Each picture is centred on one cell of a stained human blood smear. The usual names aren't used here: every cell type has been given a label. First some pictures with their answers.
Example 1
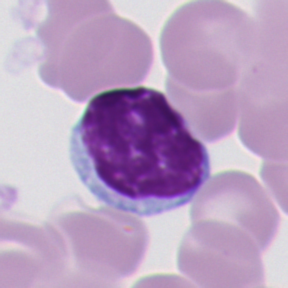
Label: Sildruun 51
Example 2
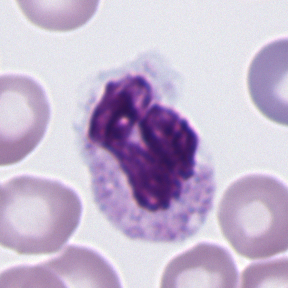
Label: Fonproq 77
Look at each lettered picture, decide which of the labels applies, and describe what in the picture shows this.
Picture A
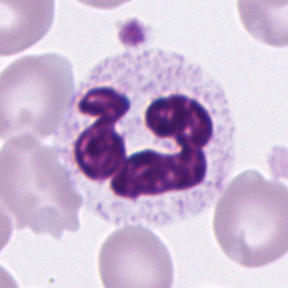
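Fonproq 77. The cytoplasm is ample and very pale pinkish-lilac.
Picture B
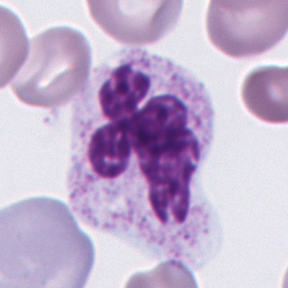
Fonproq 77. The nucleus is divided into more than three lobes.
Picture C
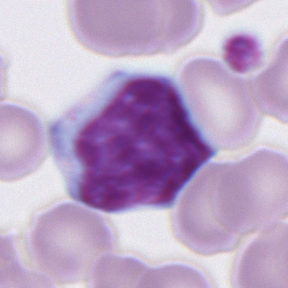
Sildruun 51. The cytoplasm is scant, forming only a narrow rim beside the nucleus.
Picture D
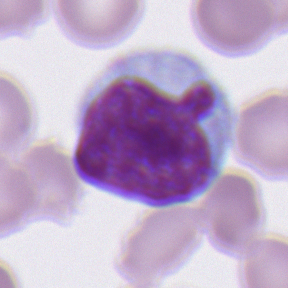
Sildruun 51. The nucleus fills most of the cell.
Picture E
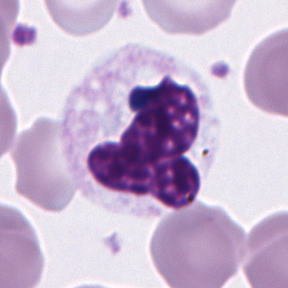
Fonproq 77. The nucleus is irregular and folded into lobes that are joined by broad bands, not thin threads.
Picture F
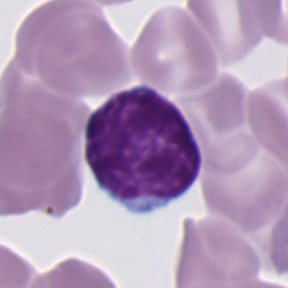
Sildruun 51. The cytoplasm shows only as a thin crescent along the lower edge of the cell.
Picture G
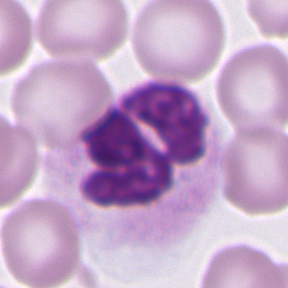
Fonproq 77. The nucleus is divided into three lobes.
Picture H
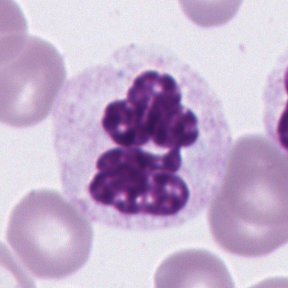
Fonproq 77. The cytoplasm is plentiful and pale pinkish-lilac.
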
